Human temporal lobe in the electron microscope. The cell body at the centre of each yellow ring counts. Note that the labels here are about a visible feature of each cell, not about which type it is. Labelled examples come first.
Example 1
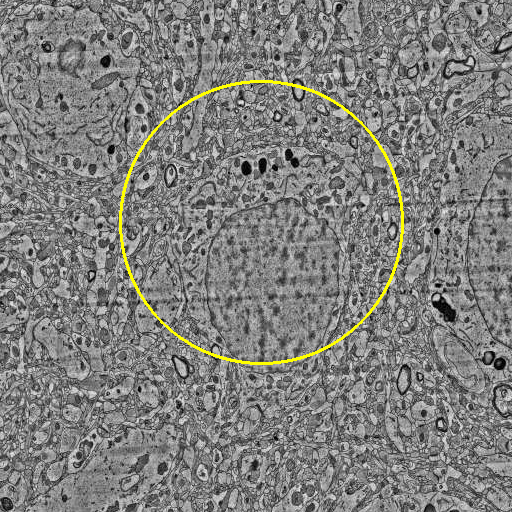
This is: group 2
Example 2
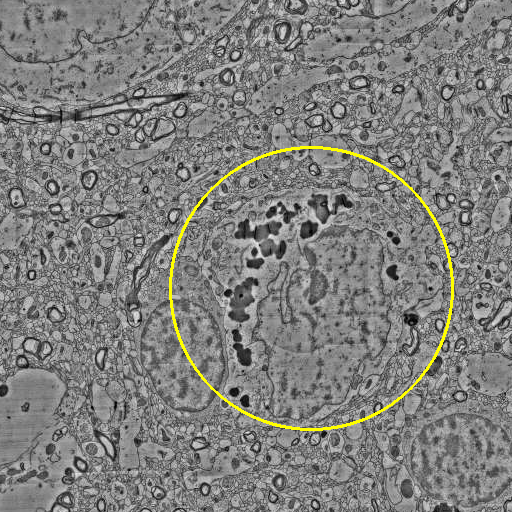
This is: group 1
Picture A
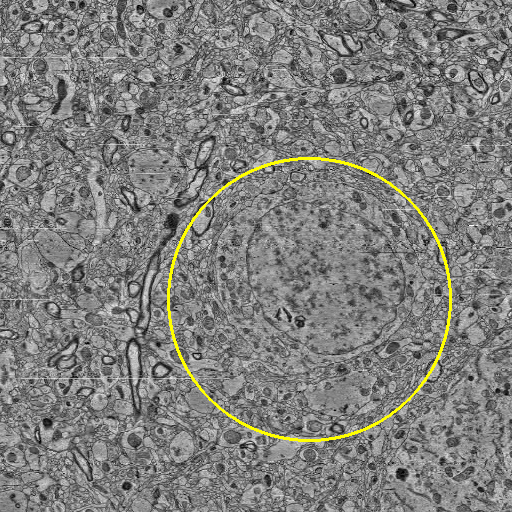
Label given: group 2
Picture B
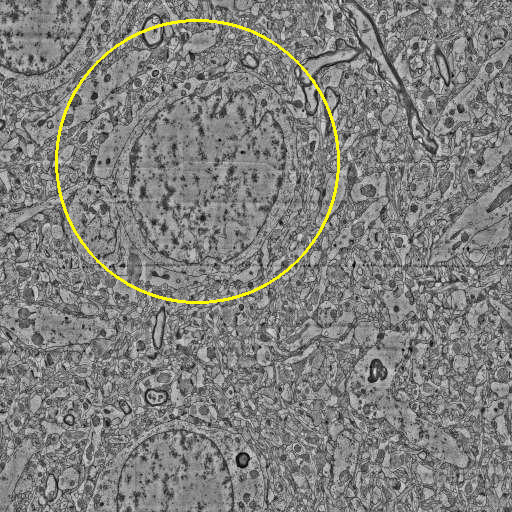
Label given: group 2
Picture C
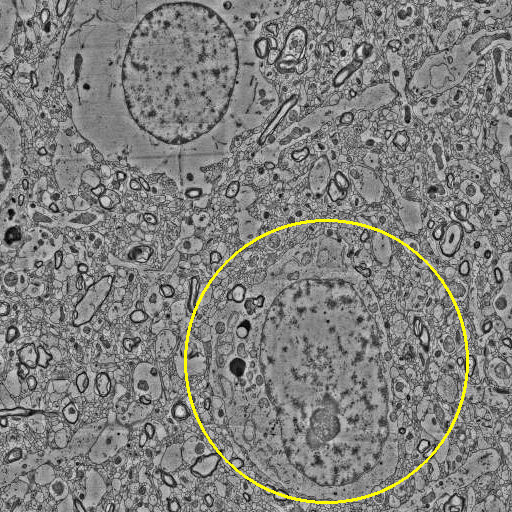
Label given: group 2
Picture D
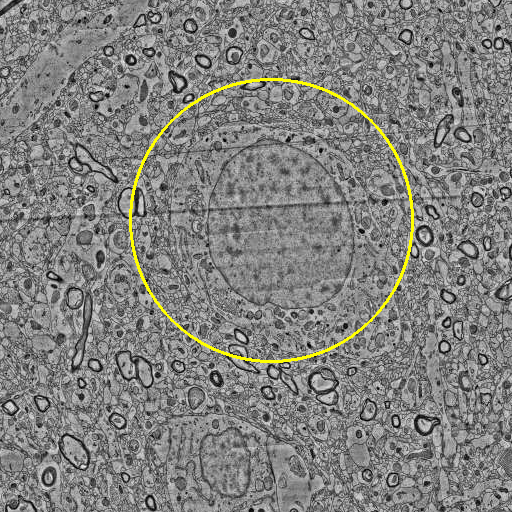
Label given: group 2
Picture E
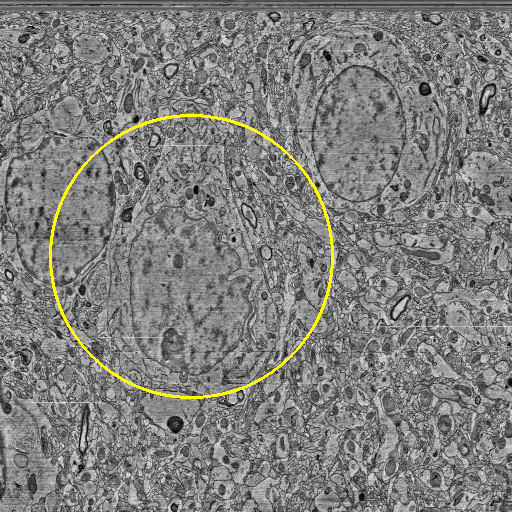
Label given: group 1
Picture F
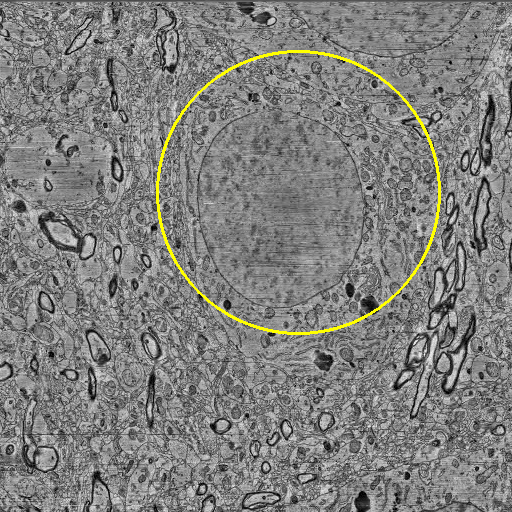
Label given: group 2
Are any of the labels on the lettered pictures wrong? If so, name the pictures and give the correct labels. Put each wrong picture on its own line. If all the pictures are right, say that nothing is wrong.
Every label is right.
